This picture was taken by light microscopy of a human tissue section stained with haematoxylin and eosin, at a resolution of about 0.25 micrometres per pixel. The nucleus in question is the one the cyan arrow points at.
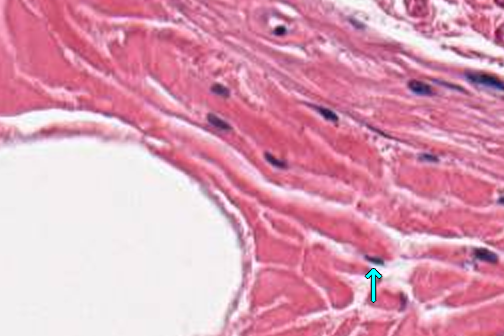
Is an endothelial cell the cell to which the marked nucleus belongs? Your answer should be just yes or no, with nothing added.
no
